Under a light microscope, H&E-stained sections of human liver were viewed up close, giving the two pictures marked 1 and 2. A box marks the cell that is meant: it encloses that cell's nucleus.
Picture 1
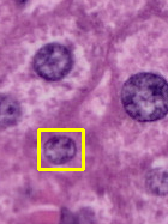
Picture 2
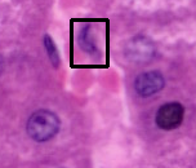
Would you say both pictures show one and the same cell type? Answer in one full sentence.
No. Picture 1 shows a hepatocyte, but picture 2 shows a Kupffer cell.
